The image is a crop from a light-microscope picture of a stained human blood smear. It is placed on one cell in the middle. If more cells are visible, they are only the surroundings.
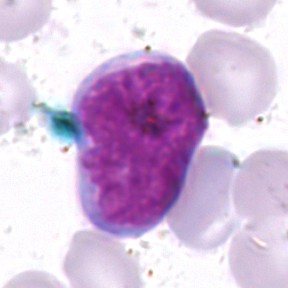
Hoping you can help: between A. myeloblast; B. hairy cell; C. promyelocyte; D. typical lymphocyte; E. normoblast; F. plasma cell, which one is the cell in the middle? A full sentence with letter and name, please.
Located in the middle of the crop is a myeloblast, and option A is therefore correct.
